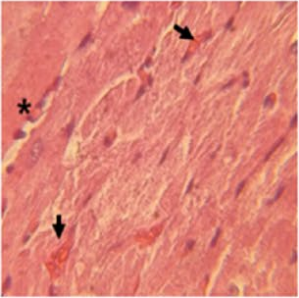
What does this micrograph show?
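This is heart muscle, with pink myocardial fibers running diagonally and purple oval nuclei scattered among them. In the middle of the field the regular parallel arrangement breaks down: the fibers look pale, frayed and disorganised, with clear gaps opening between them. The arrows point to small, deeply red, clumped fragments of fiber material. Toward the upper left an asterisk marks an area of pink-stained tissue at the edge of a pale cleft. Compared with healthy heart muscle, the fibers here look irregular rather than neatly aligned.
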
